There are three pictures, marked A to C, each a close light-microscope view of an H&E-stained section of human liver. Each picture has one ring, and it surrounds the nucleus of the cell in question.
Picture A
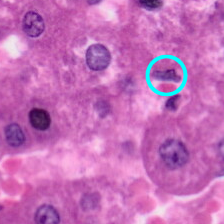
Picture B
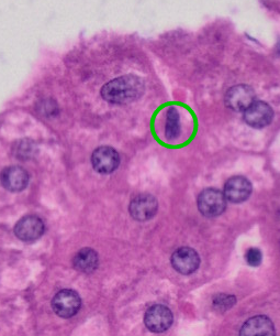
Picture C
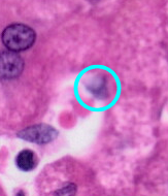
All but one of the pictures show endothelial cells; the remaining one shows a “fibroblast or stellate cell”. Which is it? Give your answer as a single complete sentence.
It is picture B that shows the “fibroblast or stellate cell”.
